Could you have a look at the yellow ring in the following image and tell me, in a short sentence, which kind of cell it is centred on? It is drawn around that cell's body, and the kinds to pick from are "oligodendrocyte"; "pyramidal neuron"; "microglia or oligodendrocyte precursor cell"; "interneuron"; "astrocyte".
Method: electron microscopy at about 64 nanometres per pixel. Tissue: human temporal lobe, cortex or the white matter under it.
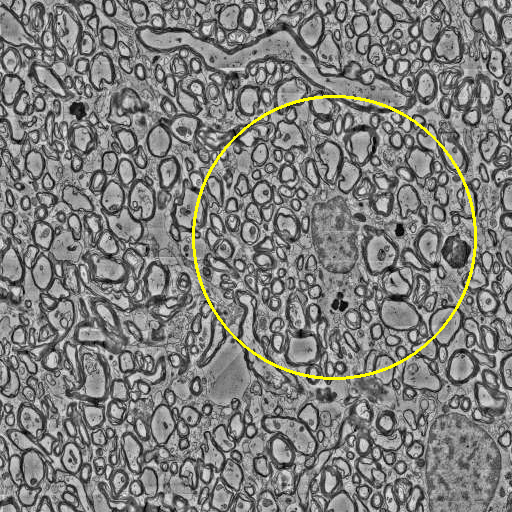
The ring is centred on the body of an oligodendrocyte.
